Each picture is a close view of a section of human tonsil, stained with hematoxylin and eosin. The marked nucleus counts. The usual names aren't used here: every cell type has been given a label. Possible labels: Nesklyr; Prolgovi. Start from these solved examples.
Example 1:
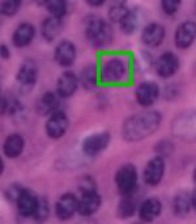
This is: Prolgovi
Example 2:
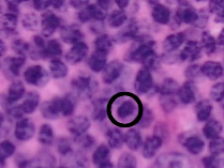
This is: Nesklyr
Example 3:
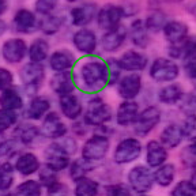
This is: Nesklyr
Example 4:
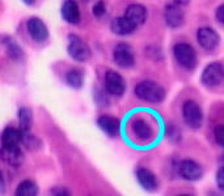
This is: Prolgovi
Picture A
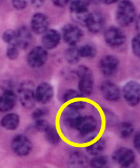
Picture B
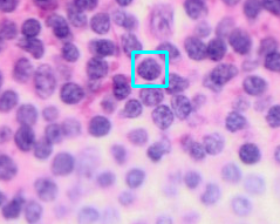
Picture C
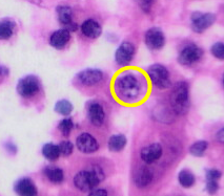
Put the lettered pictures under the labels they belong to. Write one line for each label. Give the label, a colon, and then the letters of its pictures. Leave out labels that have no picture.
Nesklyr: B
Prolgovi: A, C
